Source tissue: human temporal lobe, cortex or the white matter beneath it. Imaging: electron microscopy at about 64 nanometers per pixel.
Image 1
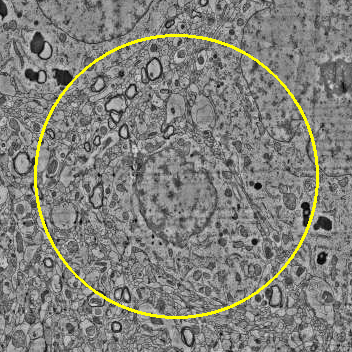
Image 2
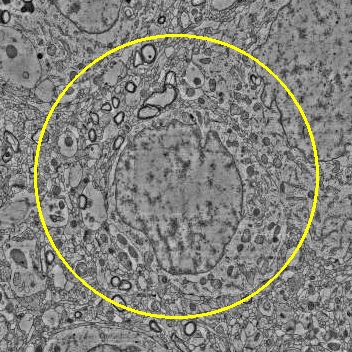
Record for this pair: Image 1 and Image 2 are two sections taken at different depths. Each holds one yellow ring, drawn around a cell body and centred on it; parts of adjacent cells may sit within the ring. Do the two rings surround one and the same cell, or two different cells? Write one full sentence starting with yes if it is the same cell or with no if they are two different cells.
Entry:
Yes, a single cell is marked twice, once by each yellow ring.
